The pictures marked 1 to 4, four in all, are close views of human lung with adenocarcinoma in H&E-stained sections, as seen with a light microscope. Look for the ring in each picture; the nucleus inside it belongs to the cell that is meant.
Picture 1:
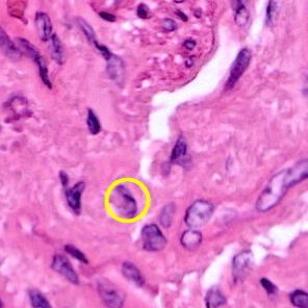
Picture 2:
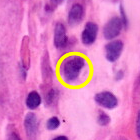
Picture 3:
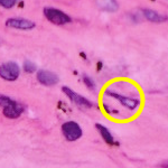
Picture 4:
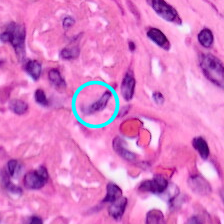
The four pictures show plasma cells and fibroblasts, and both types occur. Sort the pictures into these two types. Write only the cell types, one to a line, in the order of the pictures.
fibroblast
plasma cell
fibroblast
fibroblast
